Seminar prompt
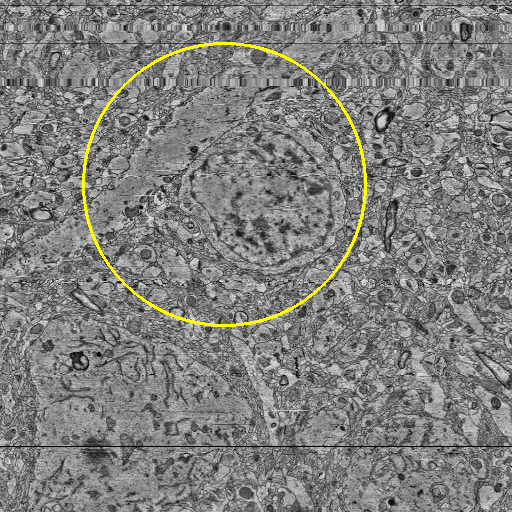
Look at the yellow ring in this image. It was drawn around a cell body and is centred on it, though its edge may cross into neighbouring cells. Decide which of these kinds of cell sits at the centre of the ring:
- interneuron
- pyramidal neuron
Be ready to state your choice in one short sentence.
The kind of cell at the ring's centre is an interneuron.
